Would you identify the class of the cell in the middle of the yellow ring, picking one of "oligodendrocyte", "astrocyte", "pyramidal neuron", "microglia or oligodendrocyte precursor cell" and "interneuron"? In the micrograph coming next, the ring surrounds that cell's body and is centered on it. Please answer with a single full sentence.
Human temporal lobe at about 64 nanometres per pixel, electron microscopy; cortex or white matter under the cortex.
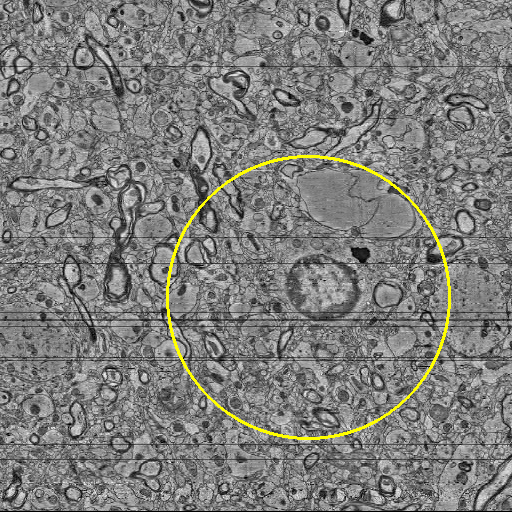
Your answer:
In the micrograph, it is an oligodendrocyte whose body lies at the ring's center.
